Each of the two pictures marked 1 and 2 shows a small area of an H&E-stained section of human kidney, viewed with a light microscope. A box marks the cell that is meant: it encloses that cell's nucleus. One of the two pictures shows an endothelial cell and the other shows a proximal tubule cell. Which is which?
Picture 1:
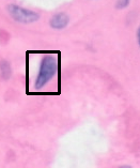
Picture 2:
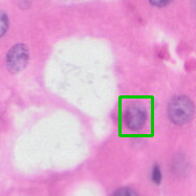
1: endothelial cell
2: proximal tubule cell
